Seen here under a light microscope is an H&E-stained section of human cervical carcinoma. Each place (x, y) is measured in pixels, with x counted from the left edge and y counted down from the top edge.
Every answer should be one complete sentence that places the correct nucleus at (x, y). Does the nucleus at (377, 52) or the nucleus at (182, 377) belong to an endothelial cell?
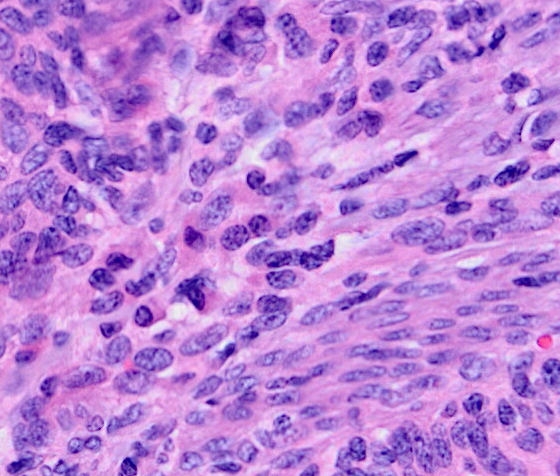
Of the two nuclei, the one sitting at (182, 377) belongs to an endothelial cell.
